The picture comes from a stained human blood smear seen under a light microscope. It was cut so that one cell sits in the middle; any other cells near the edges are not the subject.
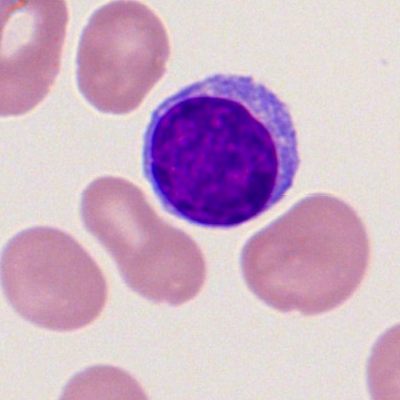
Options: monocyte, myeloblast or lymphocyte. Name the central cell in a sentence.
The center cell of this crop is a lymphocyte.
